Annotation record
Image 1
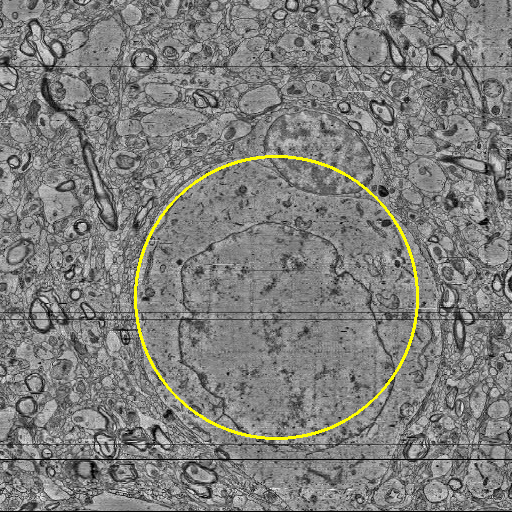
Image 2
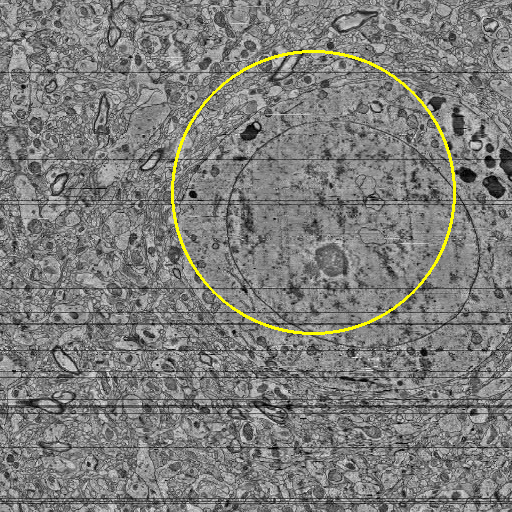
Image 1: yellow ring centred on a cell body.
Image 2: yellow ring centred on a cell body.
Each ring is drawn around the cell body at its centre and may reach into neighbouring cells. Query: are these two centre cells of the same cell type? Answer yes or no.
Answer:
yes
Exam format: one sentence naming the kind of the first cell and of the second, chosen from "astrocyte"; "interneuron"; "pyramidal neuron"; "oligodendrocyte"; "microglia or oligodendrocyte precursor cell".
The cell at the ring centre is a pyramidal neuron in both pictures.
